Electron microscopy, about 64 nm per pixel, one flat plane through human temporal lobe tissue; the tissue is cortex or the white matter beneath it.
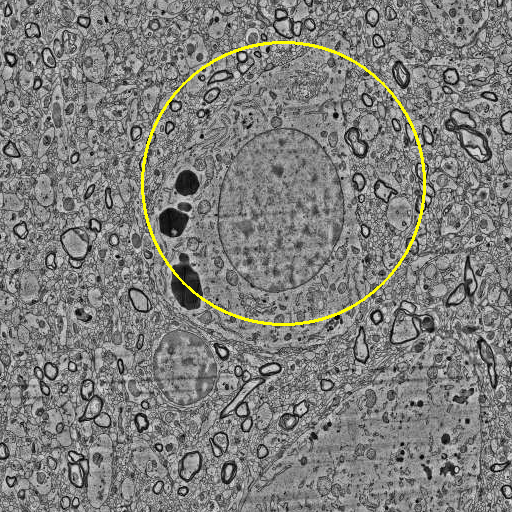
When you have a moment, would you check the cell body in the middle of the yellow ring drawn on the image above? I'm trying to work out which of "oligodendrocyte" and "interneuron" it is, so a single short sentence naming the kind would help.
This cell body belongs to an interneuron.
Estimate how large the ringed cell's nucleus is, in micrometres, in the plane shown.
The nucleus is approximately 10 micrometers long by 8 micrometers wide in this plane.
